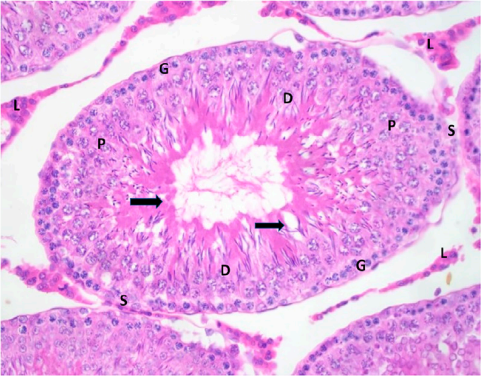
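This is a cross-section of a seminiferous tubule of the testis, lined by a thick, many-layered epithelium of developing germ cells. Along the outer edge small cells with round dark nuclei sit on the thin basement membrane; these are spermatogonia, with Sertoli cells among them. Above them lie larger round cells, the primary spermatocytes, and toward the centre smaller cells, the early spermatids. Pink tails of spermatozoa stream into the lumen in the middle of the tubule. Outside the tubule, in the narrow spaces between neighbouring tubules, lie small groups of interstitial Leydig cells with pink cytoplasm.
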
